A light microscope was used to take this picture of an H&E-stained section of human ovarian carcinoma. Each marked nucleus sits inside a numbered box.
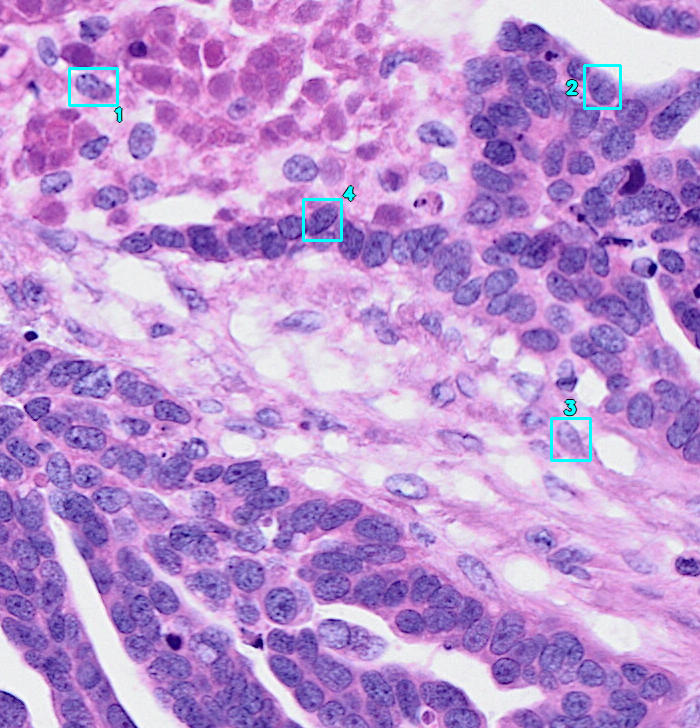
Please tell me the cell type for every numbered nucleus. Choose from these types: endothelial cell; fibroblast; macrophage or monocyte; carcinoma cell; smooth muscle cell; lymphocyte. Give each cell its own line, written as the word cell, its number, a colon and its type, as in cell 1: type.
cell 1: macrophage or monocyte
cell 2: carcinoma cell
cell 3: fibroblast
cell 4: carcinoma cell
